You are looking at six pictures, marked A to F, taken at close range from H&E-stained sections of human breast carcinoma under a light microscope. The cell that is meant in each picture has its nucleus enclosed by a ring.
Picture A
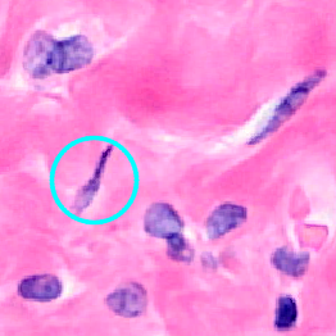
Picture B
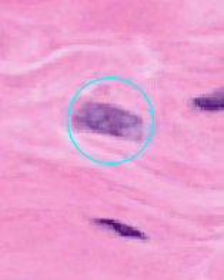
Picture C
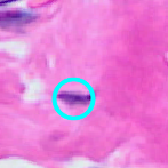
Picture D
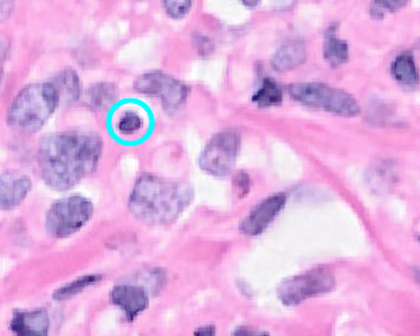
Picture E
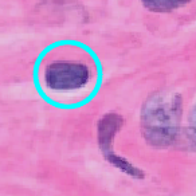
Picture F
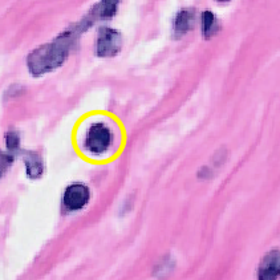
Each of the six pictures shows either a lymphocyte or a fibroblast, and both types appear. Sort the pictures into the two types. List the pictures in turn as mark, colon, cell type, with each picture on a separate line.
A: fibroblast
B: fibroblast
C: fibroblast
D: lymphocyte
E: lymphocyte
F: lymphocyte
